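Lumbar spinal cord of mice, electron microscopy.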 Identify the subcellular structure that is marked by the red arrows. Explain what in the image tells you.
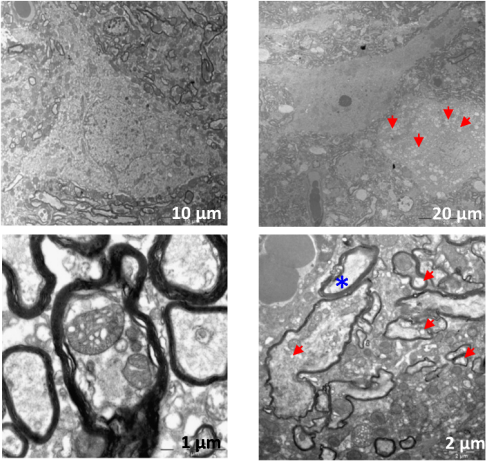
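The red arrows point to small round clear spaces inside a large neuronal cell body. In the lower right image the arrows point to pale clear spaces within axons.
Vacuoles.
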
